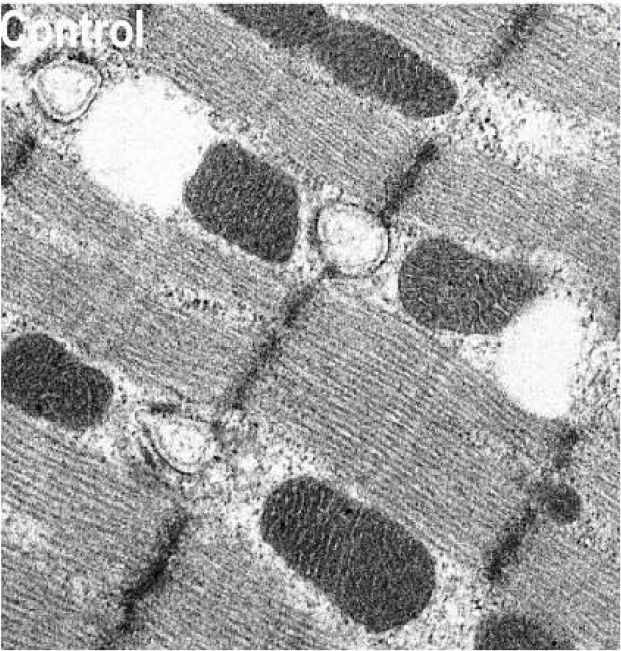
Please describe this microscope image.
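This is heart muscle cell cytoplasm seen at high magnification, with bundles of finely striated myofibrils running diagonally across the field. Dark transverse bands cross the myofibrils at regular intervals, marking the sarcomere boundaries. Between the myofibrils lie elongated, oval, very electron-dense mitochondria arranged in rows, their interiors packed with closely spaced cristae. A few pale, rounded, membrane-bound spaces and clear areas sit in the gaps between myofibrils. The mitochondria are compact and smoothly outlined, sitting neatly alongside the contractile filaments.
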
